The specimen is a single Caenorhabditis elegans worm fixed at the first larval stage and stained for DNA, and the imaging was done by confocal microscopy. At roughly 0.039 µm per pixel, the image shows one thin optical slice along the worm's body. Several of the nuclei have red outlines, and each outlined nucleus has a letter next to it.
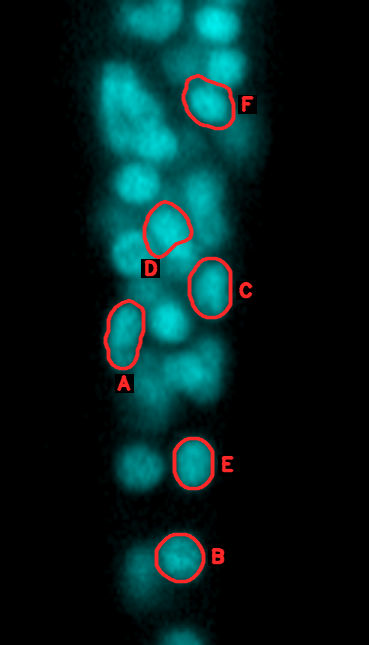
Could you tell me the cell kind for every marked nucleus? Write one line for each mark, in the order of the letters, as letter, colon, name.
A: body wall muscle cell
B: hypodermal cell (hyp)
C: body wall muscle cell
D: neuron
E: hypodermal cell (hyp)
F: rectal epithelial cell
